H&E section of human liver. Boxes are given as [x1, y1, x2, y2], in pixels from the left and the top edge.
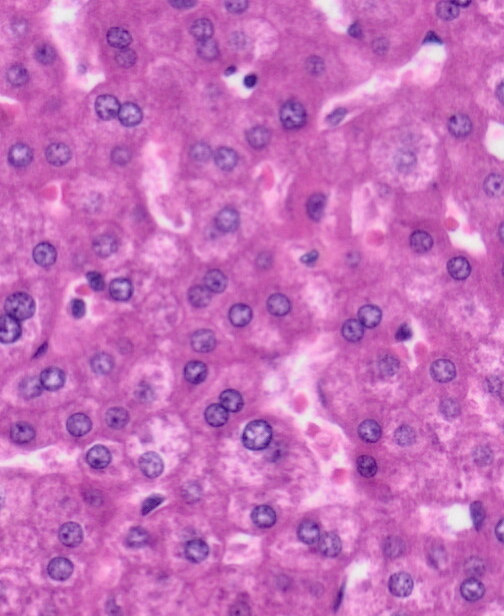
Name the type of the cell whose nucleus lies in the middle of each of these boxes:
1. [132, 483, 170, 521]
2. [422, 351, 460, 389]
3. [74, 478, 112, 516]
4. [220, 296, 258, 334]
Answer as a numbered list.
1. endothelial cell
2. hepatocyte
3. hepatocyte
4. hepatocyte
